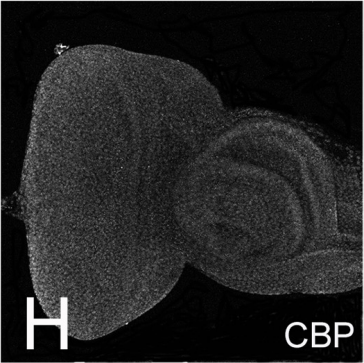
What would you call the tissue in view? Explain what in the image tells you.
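Eye imaginal disc. A large oval disc fills the left of the panel. A smaller disc with concentric rings lies to its right. Even, fine granular signal over the larger disc.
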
